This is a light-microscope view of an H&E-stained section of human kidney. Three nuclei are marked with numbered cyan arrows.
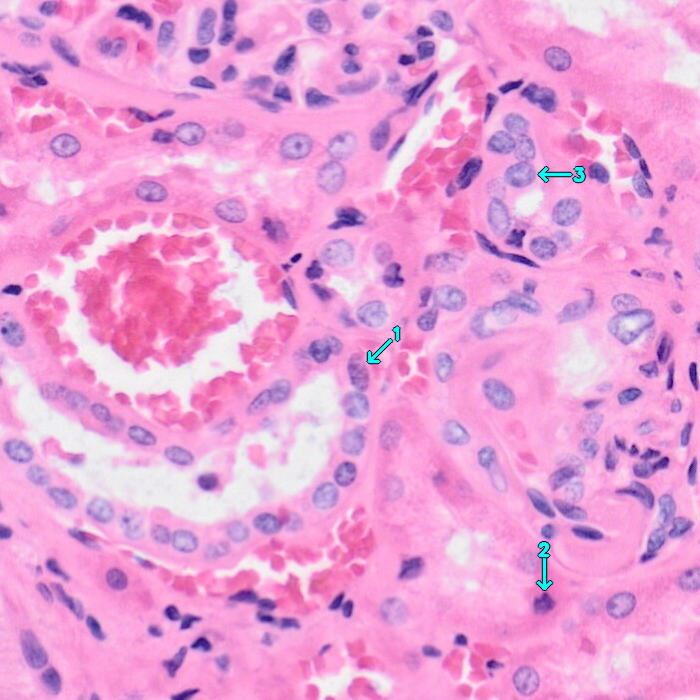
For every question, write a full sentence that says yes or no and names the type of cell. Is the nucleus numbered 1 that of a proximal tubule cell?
No, the one with number 1 is a collecting duct cell, not a proximal tubule cell.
